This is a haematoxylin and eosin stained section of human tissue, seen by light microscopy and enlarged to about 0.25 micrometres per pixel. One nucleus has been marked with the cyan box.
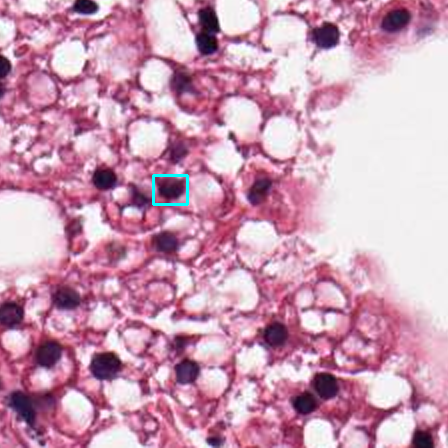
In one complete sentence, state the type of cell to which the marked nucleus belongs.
Located in an adrenal cortical cell is the marked nucleus.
